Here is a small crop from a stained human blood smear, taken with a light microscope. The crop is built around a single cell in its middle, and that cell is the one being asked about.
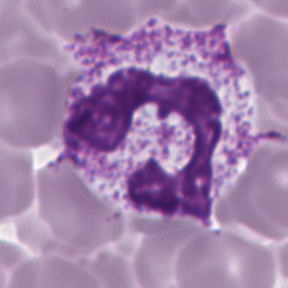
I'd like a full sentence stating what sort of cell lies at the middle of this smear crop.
Whatever else lies nearby, the middle cell is a segmented neutrophil.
